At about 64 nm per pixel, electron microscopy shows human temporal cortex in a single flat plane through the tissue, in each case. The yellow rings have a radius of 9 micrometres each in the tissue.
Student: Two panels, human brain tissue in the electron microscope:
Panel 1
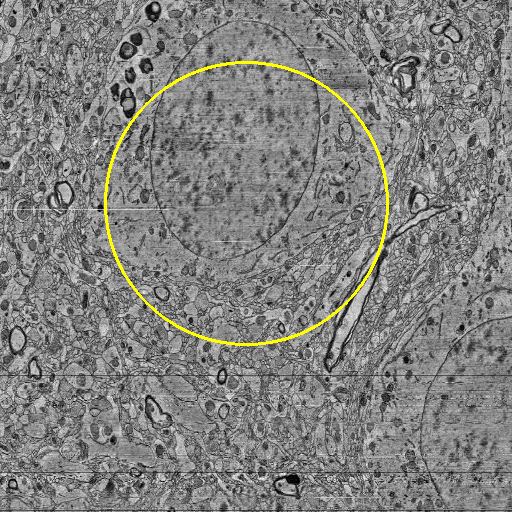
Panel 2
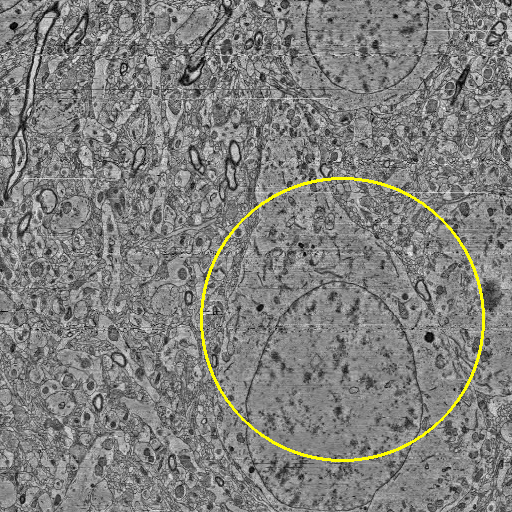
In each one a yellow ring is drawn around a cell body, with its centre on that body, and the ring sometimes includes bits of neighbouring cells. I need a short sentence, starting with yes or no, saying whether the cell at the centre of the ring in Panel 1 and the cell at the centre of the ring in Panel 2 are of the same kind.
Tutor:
Yes, they are the same kind of cell.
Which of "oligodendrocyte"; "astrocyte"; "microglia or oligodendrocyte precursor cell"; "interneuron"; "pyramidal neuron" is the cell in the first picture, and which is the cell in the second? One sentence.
Each of the two cells is a pyramidal neuron.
